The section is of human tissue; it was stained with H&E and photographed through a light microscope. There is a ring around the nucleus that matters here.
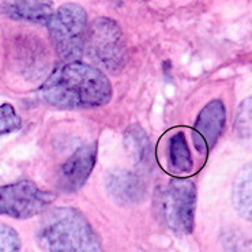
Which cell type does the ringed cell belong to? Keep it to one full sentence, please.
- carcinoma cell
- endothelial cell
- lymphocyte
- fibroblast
Typologically, the ringed cell is a carcinoma cell in this section.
